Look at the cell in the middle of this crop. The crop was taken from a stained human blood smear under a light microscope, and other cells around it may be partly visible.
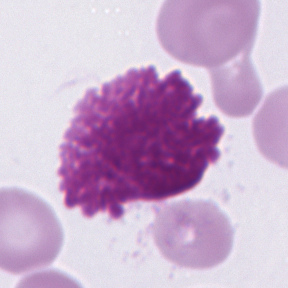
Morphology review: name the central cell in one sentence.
This crop is built around a smudge cell at its centre.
